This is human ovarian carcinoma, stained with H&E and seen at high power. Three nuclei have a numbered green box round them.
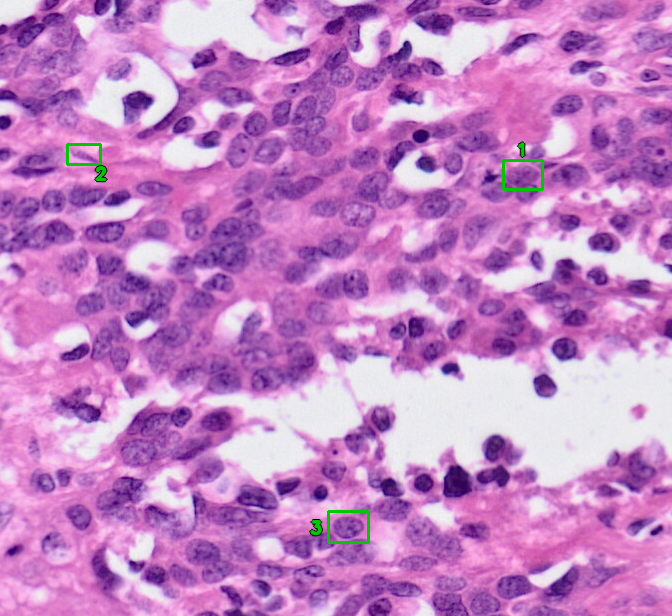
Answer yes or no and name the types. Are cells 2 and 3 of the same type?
No, cell 2 is an endothelial cell and cell 3 is a macrophage or monocyte.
